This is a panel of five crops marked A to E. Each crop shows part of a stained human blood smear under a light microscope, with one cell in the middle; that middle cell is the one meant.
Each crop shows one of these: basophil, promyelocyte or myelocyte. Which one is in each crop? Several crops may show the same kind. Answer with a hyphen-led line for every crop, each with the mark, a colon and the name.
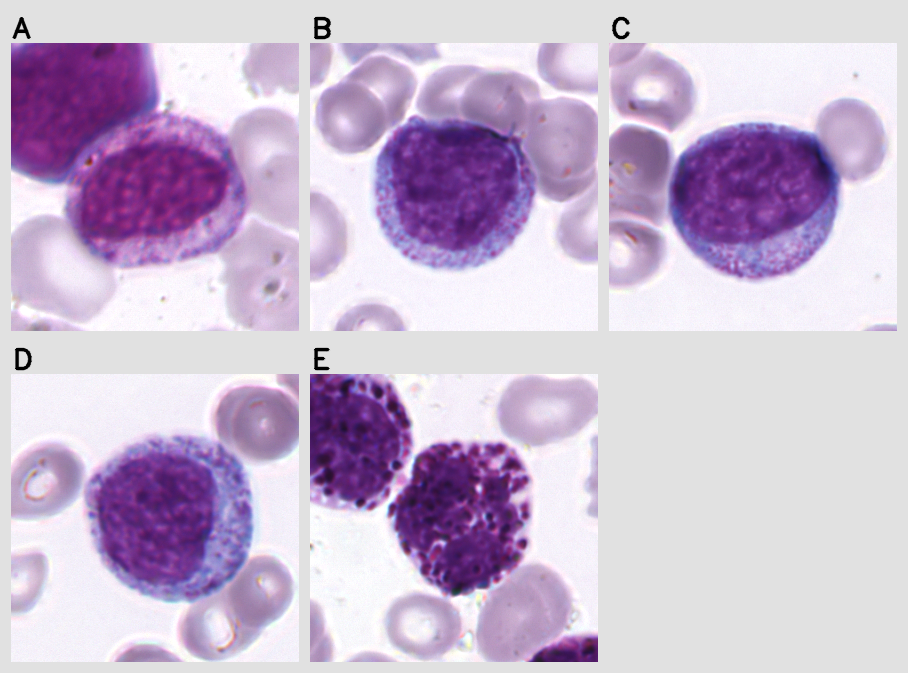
- A: myelocyte
- B: promyelocyte
- C: promyelocyte
- D: promyelocyte
- E: basophil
